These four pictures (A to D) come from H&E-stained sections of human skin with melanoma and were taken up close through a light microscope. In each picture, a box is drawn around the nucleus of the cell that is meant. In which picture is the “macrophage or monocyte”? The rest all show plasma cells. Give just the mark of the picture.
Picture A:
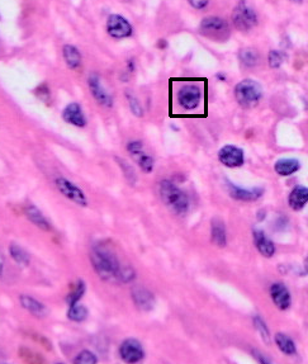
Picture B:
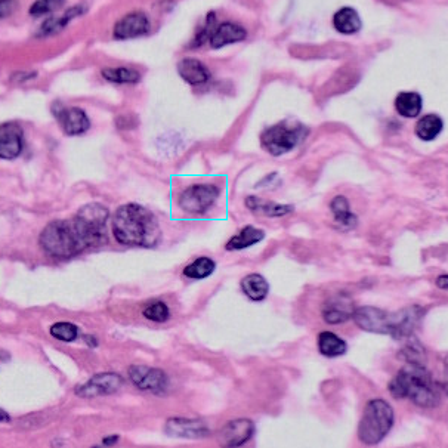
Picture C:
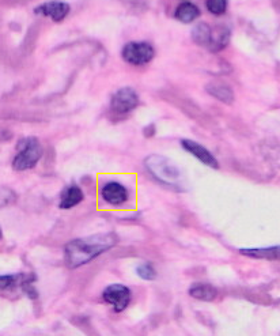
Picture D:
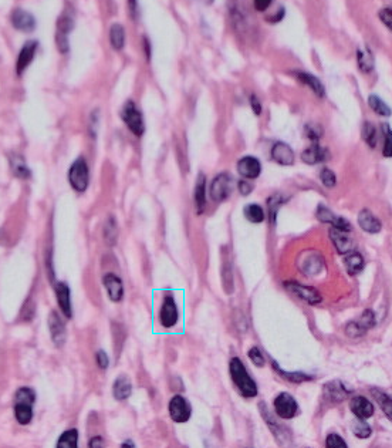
B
